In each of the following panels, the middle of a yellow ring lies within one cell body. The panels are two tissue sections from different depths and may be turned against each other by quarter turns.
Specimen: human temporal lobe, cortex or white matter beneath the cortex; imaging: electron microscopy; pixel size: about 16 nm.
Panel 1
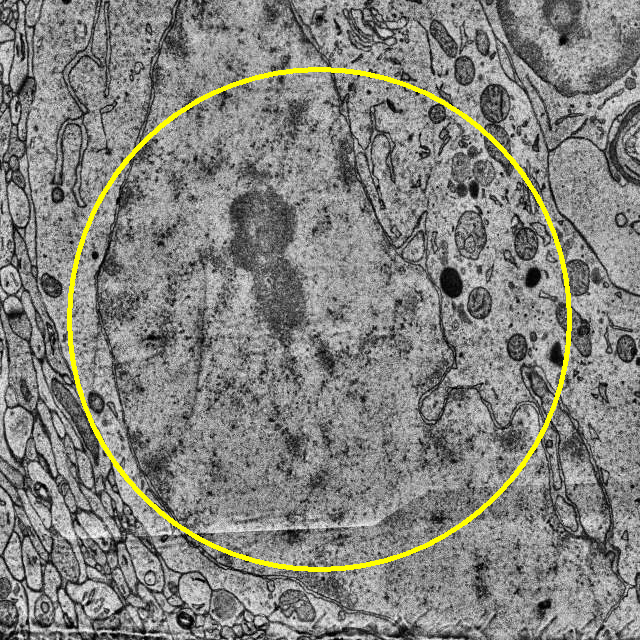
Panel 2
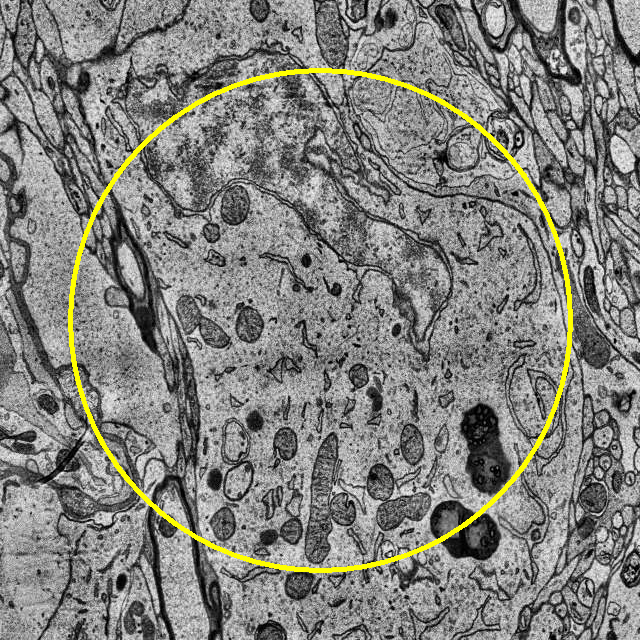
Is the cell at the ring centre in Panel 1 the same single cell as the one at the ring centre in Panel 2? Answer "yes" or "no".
yes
